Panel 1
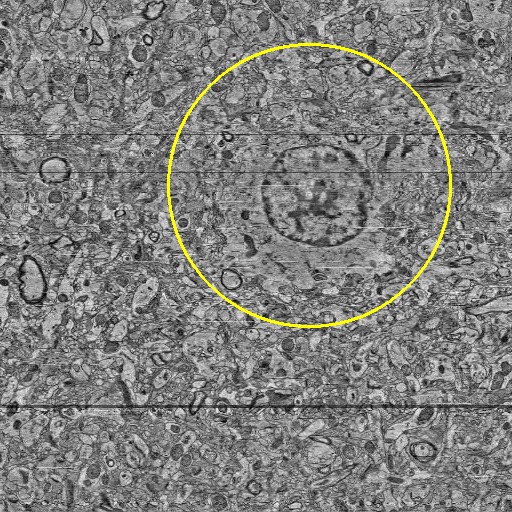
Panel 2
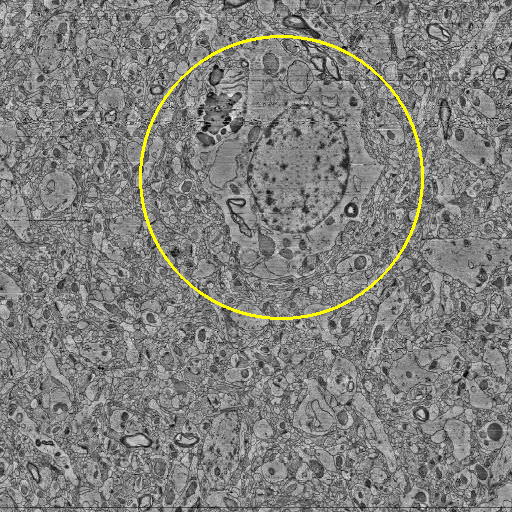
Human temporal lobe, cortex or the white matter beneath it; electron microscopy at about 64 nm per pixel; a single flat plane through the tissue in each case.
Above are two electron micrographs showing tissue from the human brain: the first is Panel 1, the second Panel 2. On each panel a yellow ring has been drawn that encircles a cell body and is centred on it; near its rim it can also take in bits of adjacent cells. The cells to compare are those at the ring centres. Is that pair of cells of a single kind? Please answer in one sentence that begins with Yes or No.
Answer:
Yes, the ring-centred cells of Panel 1 and Panel 2 belong to one kind.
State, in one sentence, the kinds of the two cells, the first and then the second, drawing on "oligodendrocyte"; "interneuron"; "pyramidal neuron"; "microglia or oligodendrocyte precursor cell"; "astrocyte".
Each one of the two ringed cells is an astrocyte.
